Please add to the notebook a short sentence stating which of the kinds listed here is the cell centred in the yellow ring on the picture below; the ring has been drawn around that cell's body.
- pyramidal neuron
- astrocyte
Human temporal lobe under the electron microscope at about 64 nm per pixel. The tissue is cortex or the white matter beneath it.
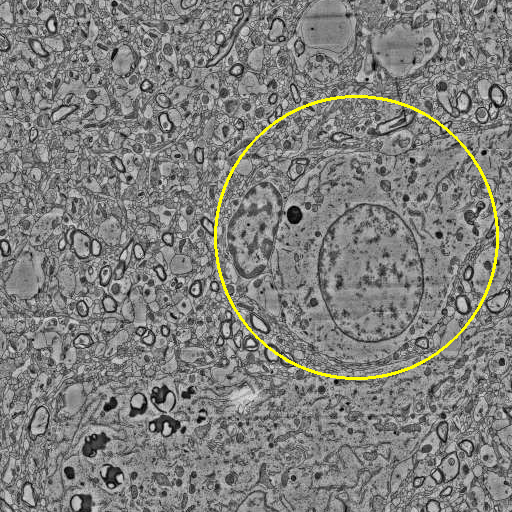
The cell centred in the yellow ring is a pyramidal neuron.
